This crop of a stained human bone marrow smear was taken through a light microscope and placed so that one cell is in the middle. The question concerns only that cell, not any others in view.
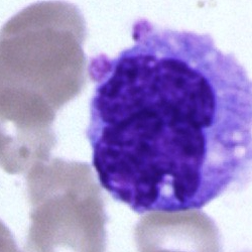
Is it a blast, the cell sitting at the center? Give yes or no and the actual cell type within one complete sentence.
No, the cell in the centre is a monocyte instead of a blast.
